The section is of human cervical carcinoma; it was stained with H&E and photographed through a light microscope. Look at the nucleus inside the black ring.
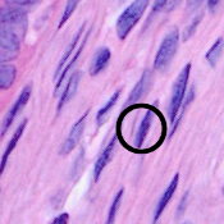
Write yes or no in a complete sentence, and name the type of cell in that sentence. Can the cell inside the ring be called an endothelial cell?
No, put down a fibroblast for the cell inside the ring, not an endothelial cell.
